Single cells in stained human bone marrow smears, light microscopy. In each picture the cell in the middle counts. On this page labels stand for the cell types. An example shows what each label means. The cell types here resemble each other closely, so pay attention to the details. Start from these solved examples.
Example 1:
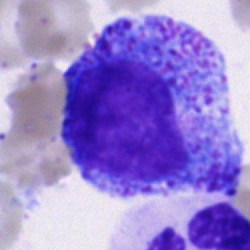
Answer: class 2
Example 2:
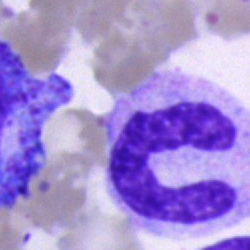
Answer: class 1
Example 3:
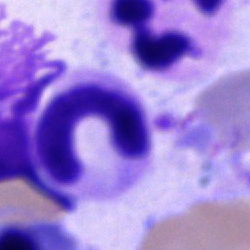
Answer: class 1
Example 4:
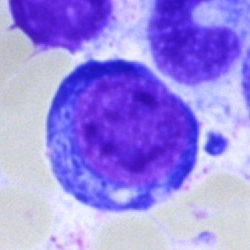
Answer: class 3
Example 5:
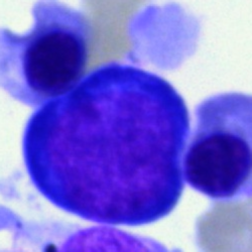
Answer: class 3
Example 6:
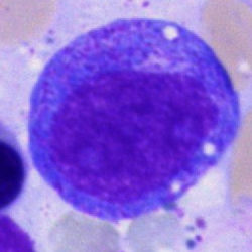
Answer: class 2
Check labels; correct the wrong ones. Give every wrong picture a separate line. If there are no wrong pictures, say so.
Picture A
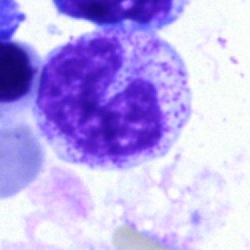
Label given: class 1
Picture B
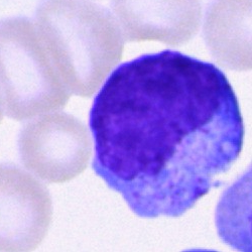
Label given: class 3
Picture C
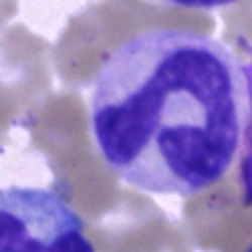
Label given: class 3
B is labelled class 3; correct label: class 2
C is labelled class 3; correct label: class 1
